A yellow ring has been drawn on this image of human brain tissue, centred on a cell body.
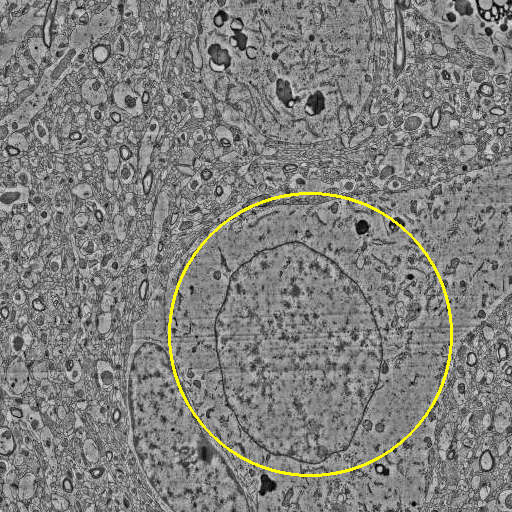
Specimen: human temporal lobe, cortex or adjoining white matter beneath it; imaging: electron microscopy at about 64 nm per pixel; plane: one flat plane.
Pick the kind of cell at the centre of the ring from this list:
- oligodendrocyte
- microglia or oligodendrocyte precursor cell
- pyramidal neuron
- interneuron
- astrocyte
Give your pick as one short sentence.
The centre of the ring holds a pyramidal neuron.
